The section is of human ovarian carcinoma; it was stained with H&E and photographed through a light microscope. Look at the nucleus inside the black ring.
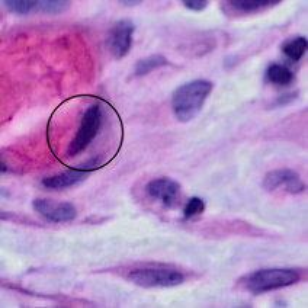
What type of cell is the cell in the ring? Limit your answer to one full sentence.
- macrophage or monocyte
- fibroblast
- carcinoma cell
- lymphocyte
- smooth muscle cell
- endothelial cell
The expected answer is simply that the cell in the ring is an endothelial cell.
